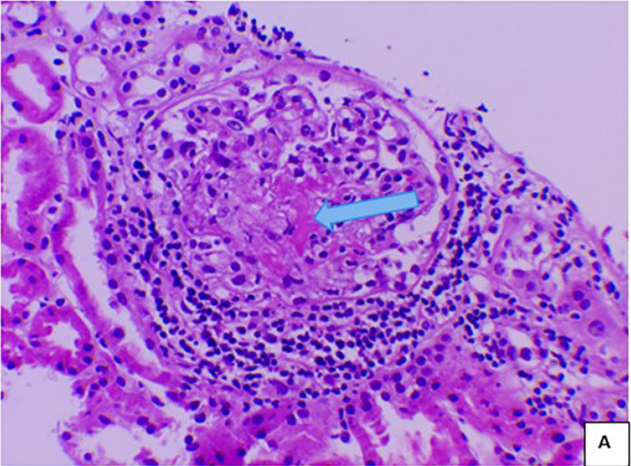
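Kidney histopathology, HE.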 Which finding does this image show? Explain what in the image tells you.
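Periglomerular inflammation. A dense band of small, dark, round nuclei surrounds the outside of the glomerulus. The band is thickest just outside the capsule of the glomerulus.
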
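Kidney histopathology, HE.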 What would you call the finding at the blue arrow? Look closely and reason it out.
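The arrow points to a patch of smudgy, bright pink, structureless material within the glomerular tuft. The pink material occupies only part of the tuft, not all of it.
Conclusion: Segmental fibrinoid necrosis of the glomerulus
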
